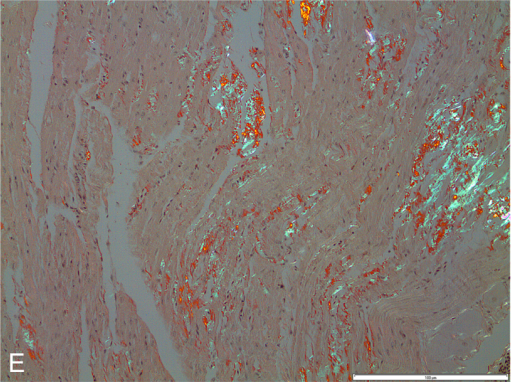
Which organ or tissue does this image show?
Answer: myocardium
